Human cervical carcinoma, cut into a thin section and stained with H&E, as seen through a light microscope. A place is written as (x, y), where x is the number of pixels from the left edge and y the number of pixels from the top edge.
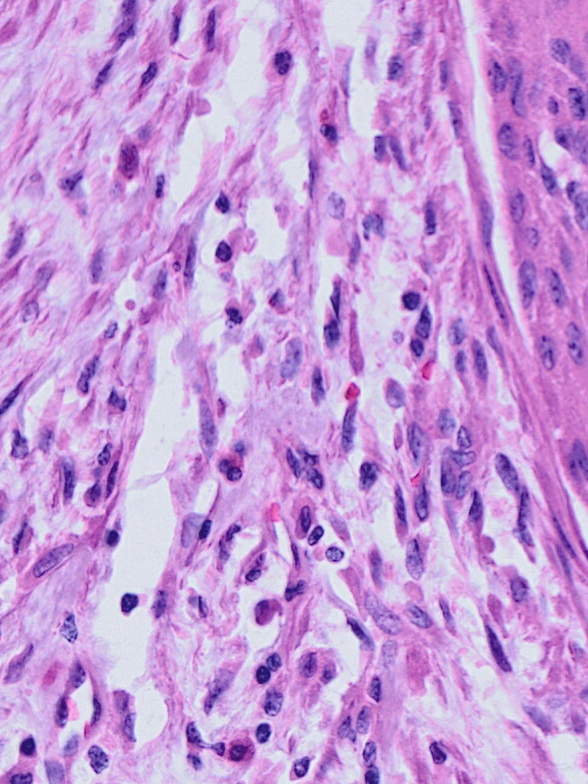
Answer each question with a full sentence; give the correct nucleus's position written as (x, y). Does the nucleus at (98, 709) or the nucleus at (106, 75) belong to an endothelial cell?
The nucleus at (98, 709) is assigned to an endothelial cell.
